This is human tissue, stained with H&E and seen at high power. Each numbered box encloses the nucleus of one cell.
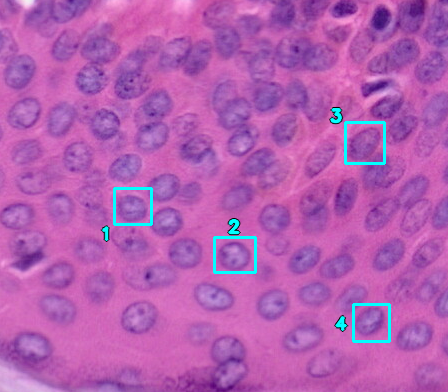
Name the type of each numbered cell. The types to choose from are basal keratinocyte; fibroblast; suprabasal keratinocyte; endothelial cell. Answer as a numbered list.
1. suprabasal keratinocyte
2. suprabasal keratinocyte
3. basal keratinocyte
4. suprabasal keratinocyte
